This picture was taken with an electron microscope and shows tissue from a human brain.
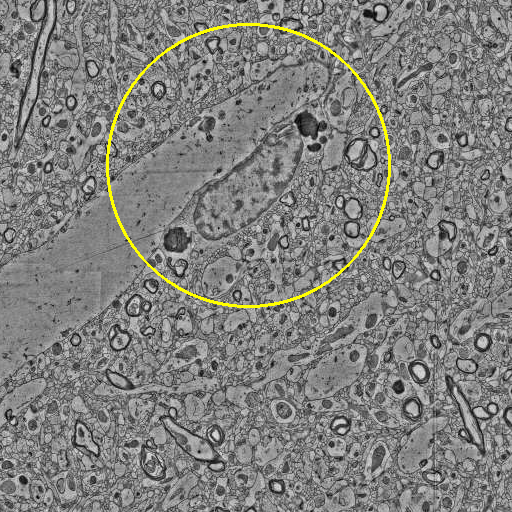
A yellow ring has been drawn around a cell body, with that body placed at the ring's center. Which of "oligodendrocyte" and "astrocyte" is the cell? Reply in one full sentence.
In this picture, an oligodendrocyte is the cell at the center of the yellow ring.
